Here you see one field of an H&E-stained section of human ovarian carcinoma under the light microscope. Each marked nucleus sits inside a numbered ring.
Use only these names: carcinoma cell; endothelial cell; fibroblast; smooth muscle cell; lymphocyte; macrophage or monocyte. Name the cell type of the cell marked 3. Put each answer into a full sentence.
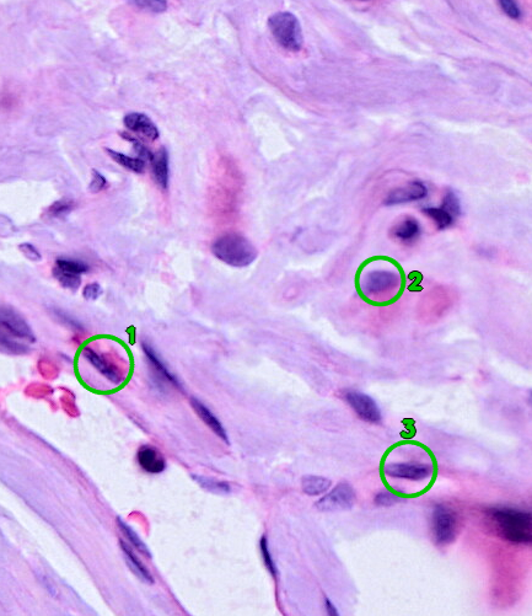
The numeral 3 marks an endothelial cell in this section.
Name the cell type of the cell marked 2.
The cell assigned the number 2 is a smooth muscle cell.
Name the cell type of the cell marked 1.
It is as an endothelial cell that the cell numbered 1 is identified.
